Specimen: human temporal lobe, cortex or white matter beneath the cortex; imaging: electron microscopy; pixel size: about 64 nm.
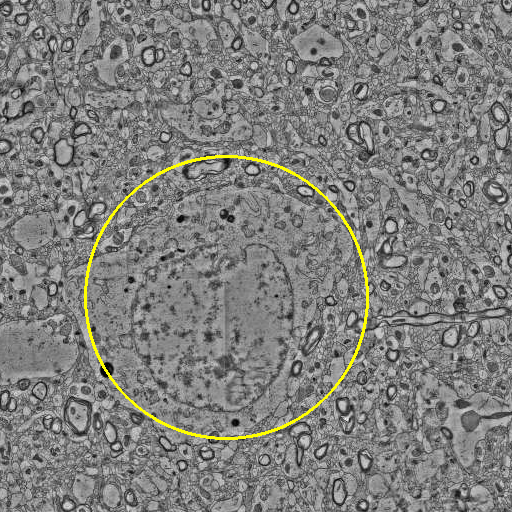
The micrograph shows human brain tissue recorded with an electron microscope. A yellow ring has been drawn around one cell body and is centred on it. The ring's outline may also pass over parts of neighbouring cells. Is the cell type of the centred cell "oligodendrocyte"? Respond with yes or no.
no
